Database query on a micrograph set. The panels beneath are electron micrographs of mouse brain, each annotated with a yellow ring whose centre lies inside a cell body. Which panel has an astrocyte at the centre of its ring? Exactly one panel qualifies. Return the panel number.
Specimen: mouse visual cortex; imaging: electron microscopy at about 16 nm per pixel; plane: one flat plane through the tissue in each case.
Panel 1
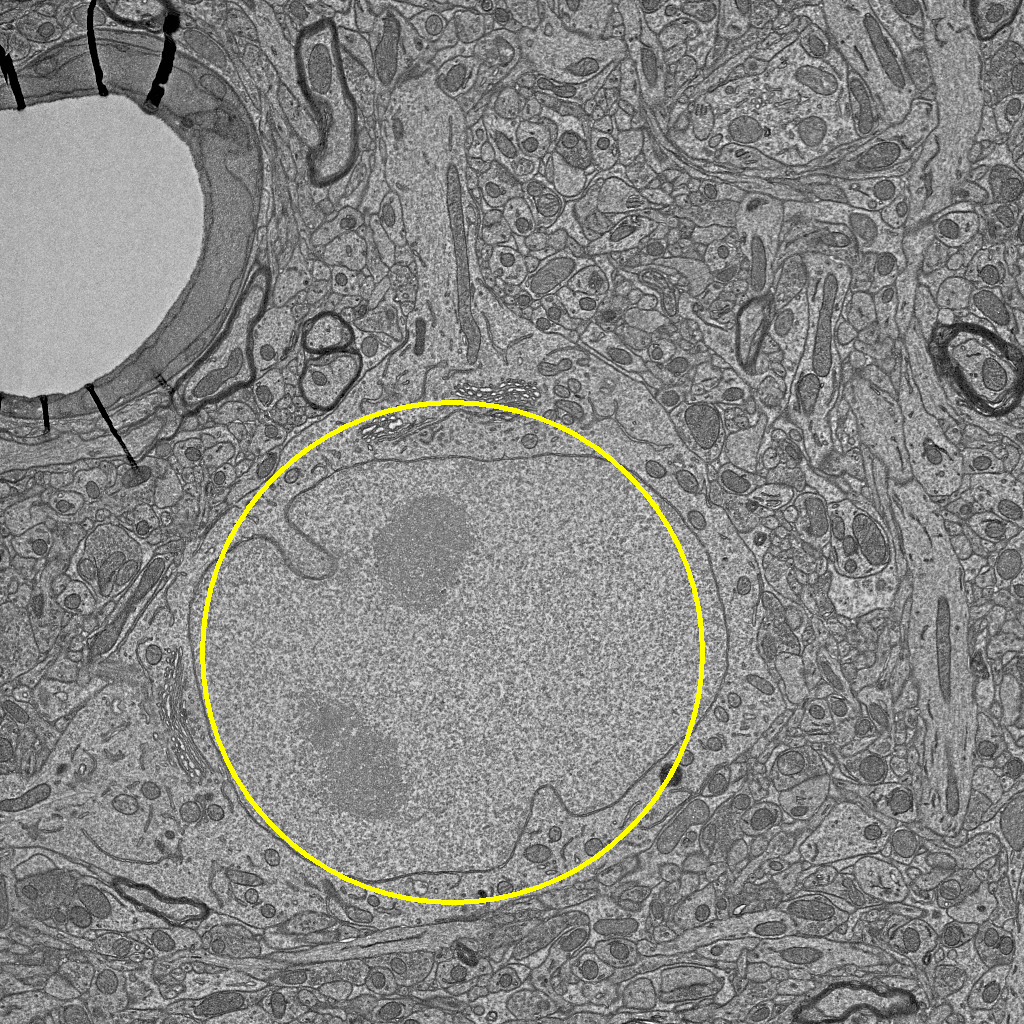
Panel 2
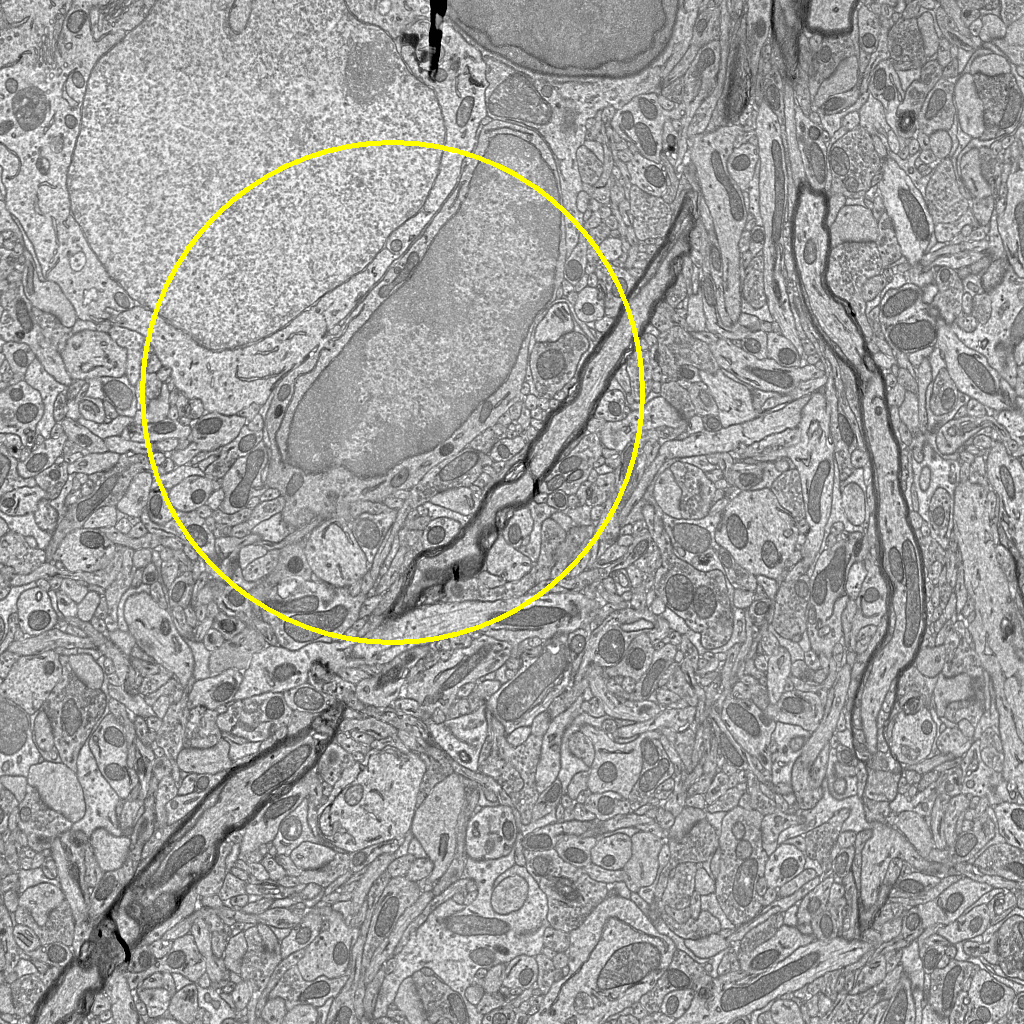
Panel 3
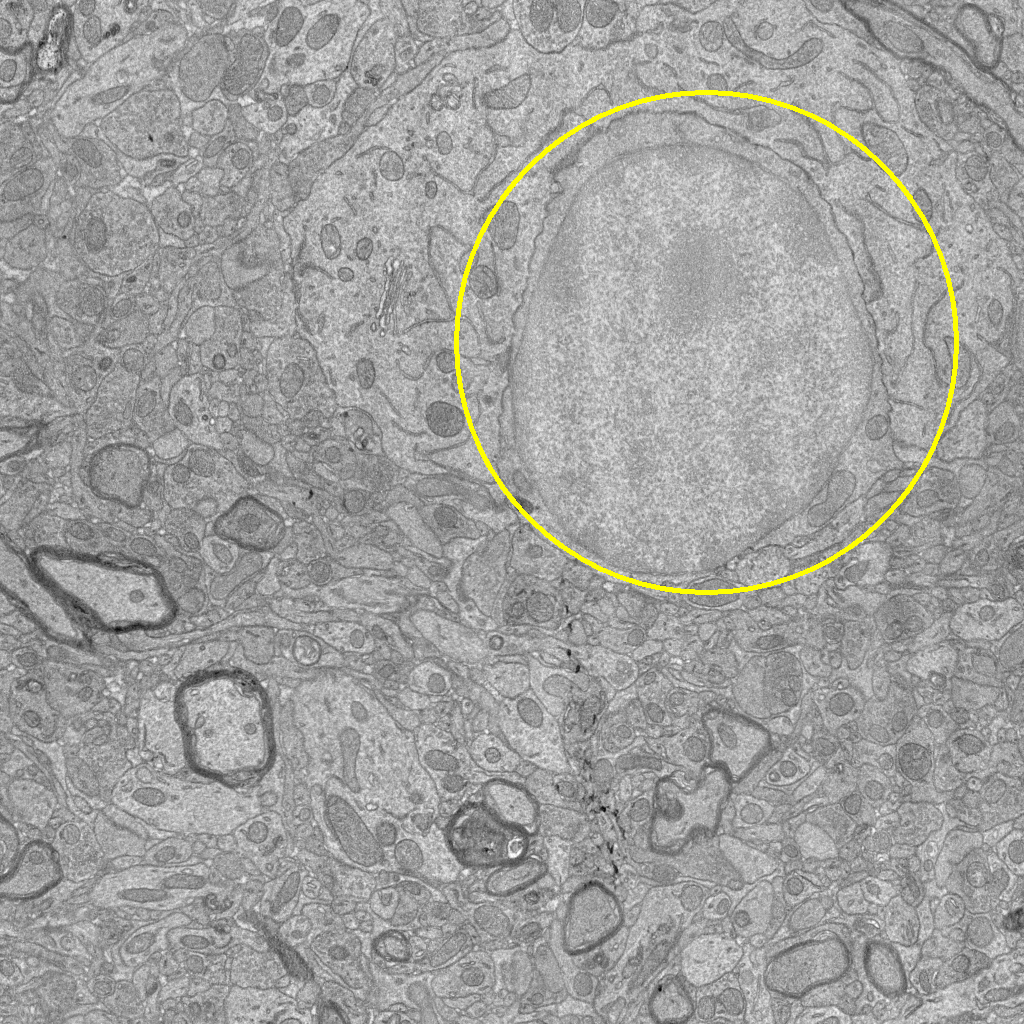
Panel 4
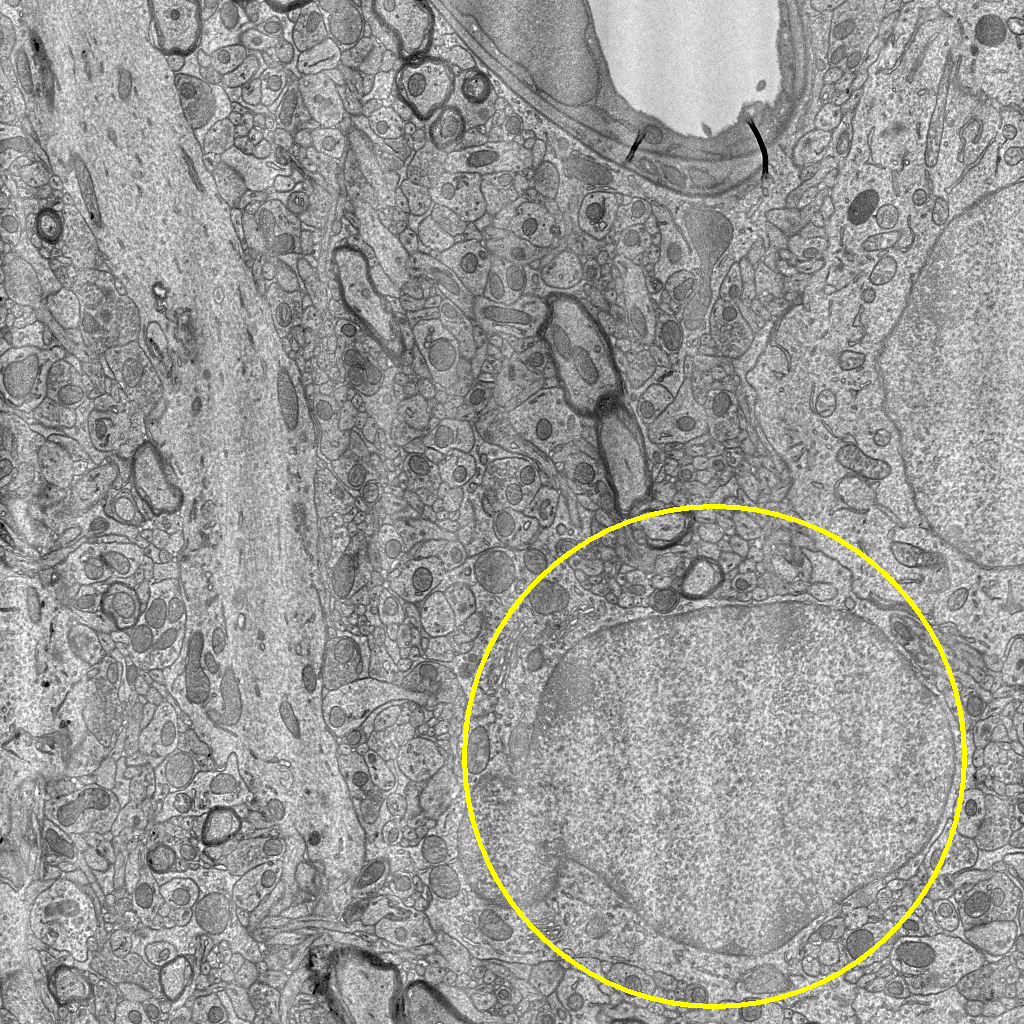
4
